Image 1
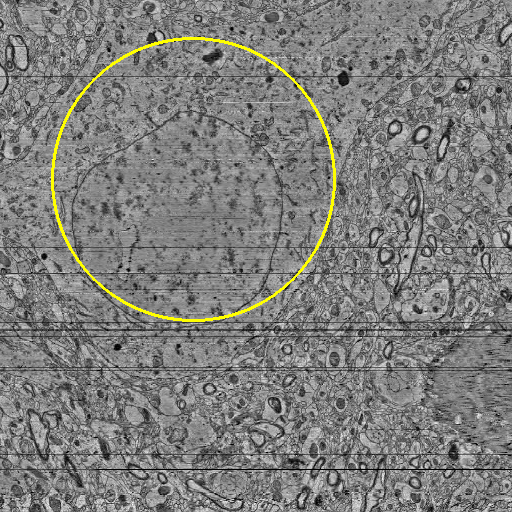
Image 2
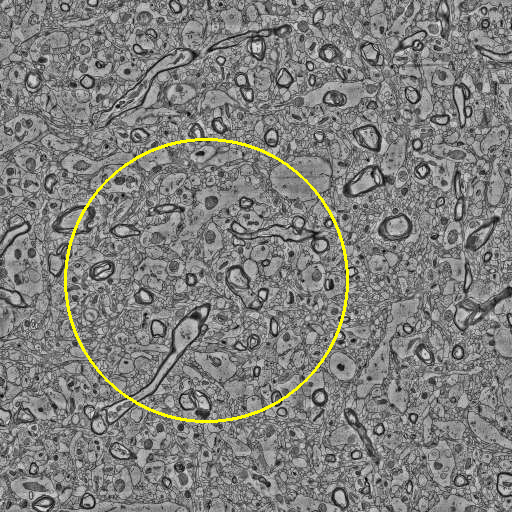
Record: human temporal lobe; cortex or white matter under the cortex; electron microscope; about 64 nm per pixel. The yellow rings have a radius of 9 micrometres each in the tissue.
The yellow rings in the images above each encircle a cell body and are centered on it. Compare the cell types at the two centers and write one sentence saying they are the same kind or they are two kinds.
Taken together, the two cells at the ring centers are two kinds.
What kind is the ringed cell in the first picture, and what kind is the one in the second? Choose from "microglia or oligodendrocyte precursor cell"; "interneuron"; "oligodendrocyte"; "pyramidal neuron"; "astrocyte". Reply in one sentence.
The first cell is a pyramidal neuron; the second is an oligodendrocyte.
